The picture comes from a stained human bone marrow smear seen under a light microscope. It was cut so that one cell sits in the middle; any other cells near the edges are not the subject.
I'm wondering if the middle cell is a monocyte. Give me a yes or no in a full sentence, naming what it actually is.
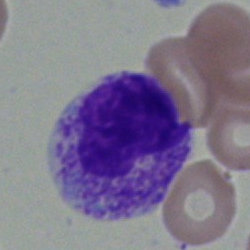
No, what the centre of the crop shows is a myelocyte, not a monocyte.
